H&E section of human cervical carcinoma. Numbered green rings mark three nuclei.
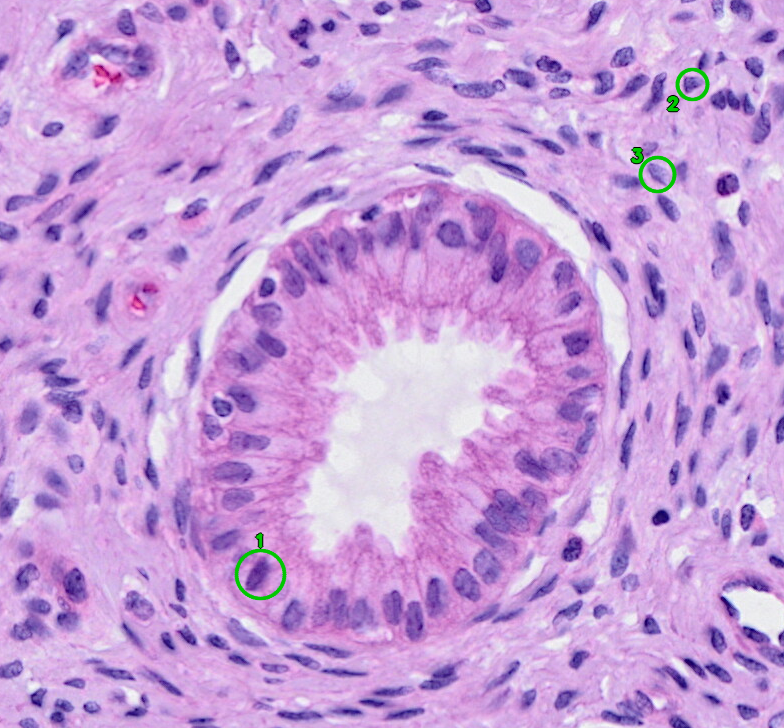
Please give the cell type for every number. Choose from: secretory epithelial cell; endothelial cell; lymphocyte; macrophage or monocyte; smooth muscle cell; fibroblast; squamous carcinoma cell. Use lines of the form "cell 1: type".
cell 1: secretory epithelial cell
cell 2: fibroblast
cell 3: fibroblast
